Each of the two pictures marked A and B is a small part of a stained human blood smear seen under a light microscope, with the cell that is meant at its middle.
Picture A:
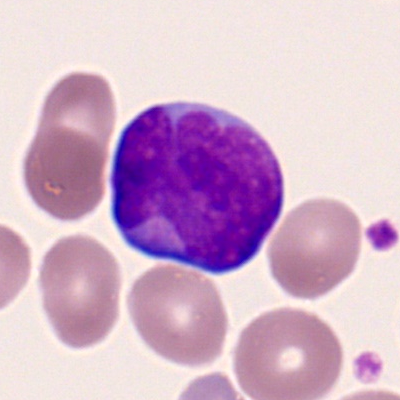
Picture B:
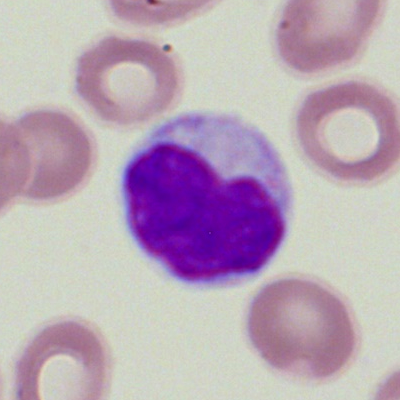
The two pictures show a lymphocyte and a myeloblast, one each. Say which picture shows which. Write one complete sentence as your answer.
In picture A the cell is a myeloblast; in picture B, a lymphocyte.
